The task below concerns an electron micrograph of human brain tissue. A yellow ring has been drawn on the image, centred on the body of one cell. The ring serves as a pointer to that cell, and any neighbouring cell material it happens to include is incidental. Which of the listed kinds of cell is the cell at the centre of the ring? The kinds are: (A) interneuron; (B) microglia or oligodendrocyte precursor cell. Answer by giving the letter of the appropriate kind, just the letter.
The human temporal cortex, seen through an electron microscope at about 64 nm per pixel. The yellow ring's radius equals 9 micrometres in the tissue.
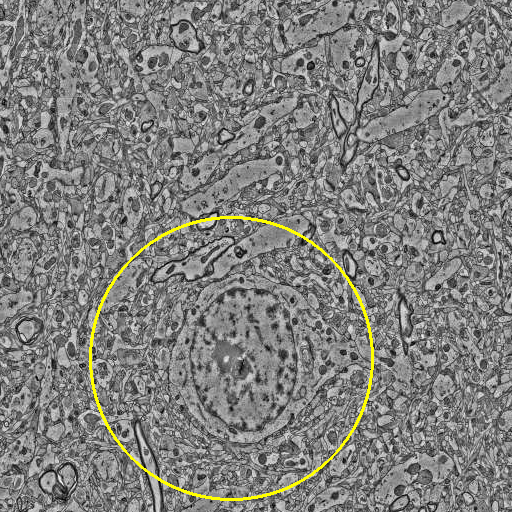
A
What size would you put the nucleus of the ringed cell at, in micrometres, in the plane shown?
About 9 by 7 micrometers, in this plane.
